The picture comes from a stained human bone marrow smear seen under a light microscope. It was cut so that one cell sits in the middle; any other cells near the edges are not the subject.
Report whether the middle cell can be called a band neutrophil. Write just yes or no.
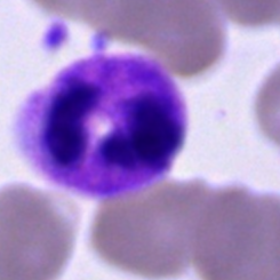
no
